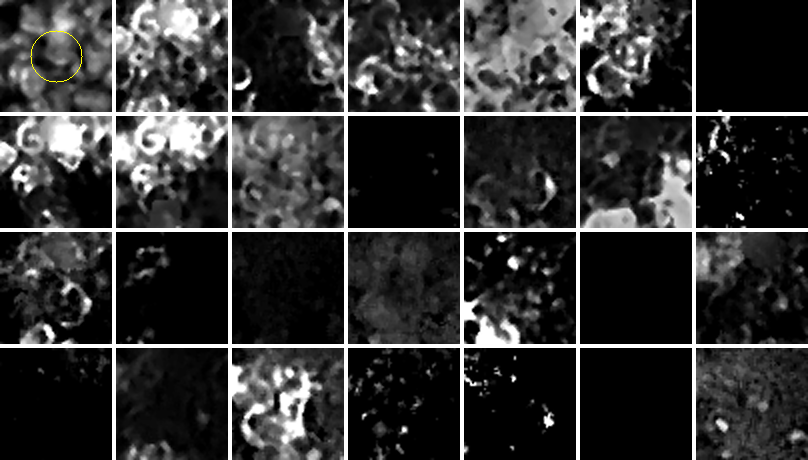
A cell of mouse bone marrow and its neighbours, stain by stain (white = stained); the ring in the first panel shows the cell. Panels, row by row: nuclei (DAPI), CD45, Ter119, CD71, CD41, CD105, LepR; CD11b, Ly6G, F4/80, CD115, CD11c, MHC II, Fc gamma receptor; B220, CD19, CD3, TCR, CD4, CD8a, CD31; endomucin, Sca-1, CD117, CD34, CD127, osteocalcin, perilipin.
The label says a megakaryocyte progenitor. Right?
Right.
